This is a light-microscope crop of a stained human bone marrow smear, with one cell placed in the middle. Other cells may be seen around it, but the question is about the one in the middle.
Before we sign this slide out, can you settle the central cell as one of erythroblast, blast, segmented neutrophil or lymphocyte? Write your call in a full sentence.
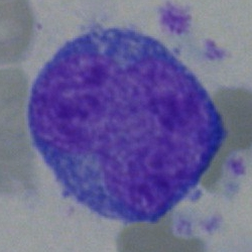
As for the central cell, it is a blast.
